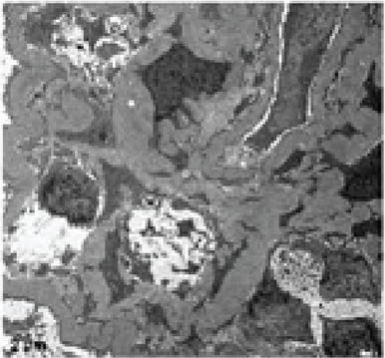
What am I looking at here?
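This electron micrograph of a renal glomerulus shows several capillary loops cut across, separated by mesangial areas and lined by the glomerular basement membrane. The basement membrane appears as broad grey bands that wind between the loops, and their width is irregular, thicker in some stretches than in others. Some capillary lumina appear pale and empty, while others hold dark, dense cell profiles.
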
